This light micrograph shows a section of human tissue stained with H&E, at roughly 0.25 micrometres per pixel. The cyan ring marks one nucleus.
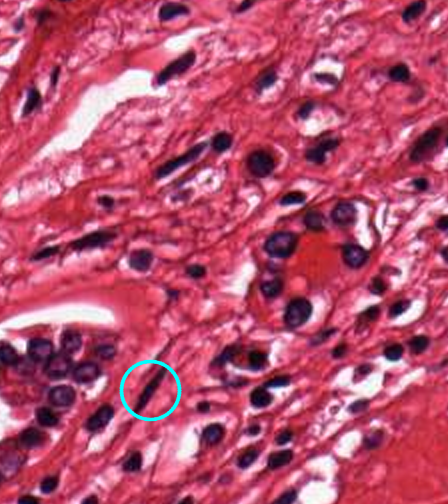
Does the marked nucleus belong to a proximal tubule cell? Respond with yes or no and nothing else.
no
